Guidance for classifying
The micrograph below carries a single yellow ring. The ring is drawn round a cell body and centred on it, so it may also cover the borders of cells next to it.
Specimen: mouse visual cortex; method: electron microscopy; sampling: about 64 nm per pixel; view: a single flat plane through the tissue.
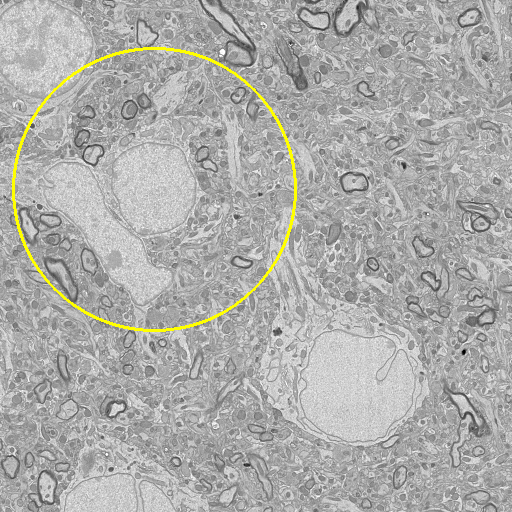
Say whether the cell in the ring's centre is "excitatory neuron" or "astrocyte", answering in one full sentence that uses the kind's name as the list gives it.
Within the yellow ring, an astrocyte is the cell whose body sits at the centre.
